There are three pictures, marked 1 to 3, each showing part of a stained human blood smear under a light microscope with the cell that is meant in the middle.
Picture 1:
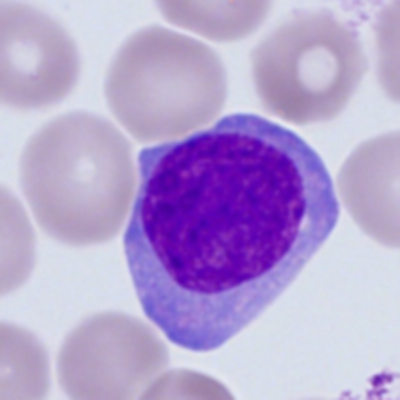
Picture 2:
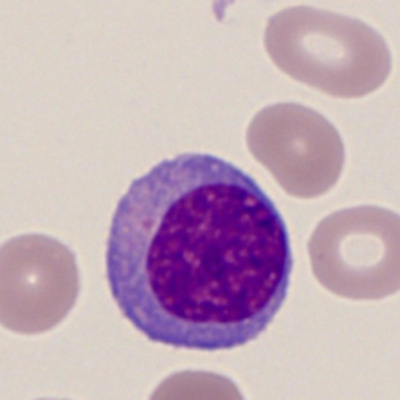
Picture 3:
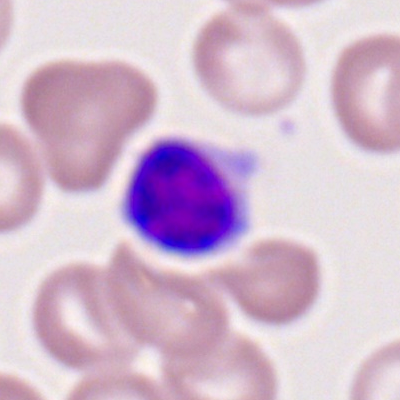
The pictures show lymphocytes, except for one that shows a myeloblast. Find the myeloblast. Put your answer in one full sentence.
It is picture 1 that shows the myeloblast.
